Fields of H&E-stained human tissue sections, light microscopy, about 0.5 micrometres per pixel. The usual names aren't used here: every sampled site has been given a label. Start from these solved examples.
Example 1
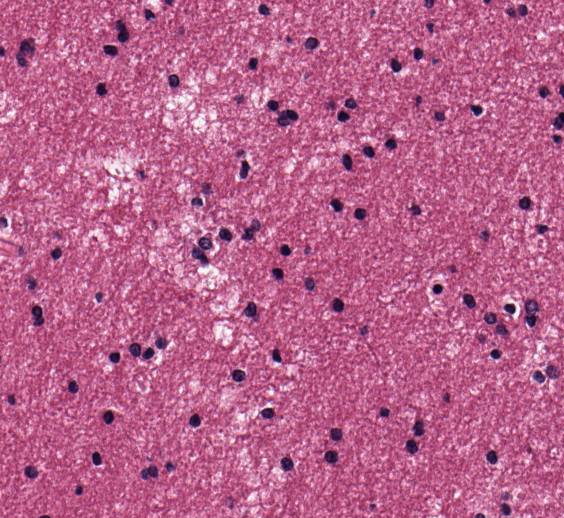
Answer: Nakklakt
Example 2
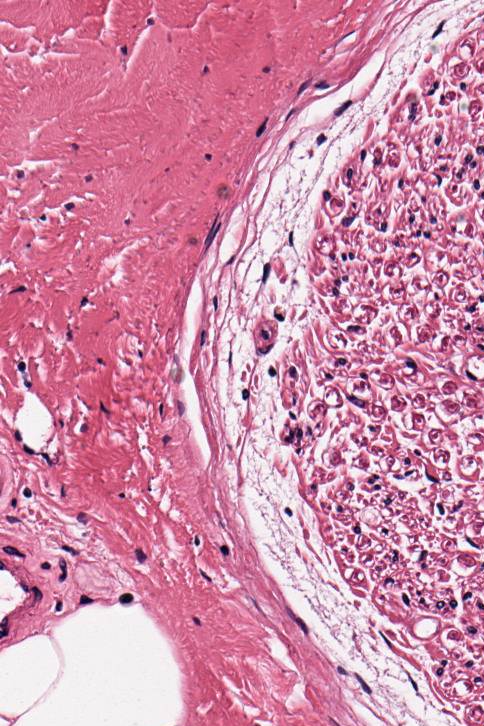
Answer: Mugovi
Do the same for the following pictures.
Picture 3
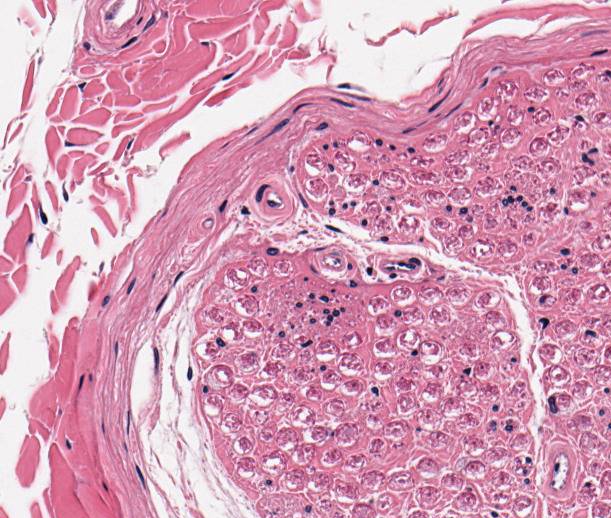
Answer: Mugovi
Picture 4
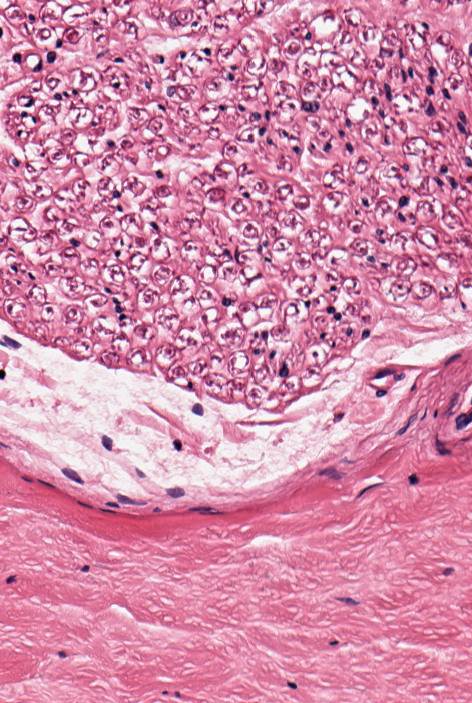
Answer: Mugovi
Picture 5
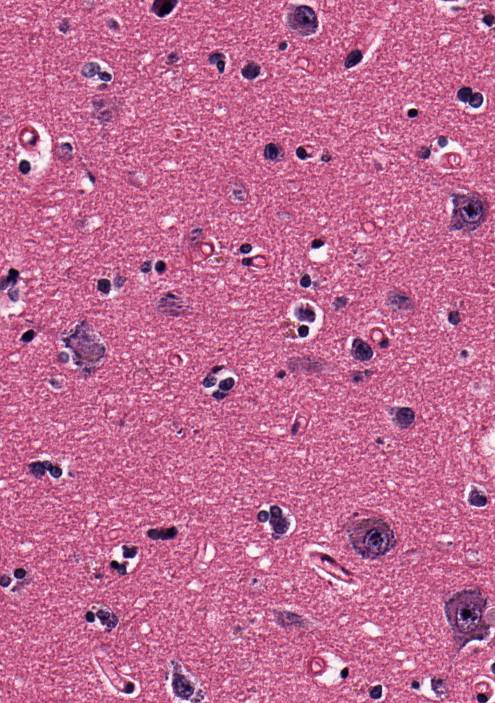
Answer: Nakklakt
